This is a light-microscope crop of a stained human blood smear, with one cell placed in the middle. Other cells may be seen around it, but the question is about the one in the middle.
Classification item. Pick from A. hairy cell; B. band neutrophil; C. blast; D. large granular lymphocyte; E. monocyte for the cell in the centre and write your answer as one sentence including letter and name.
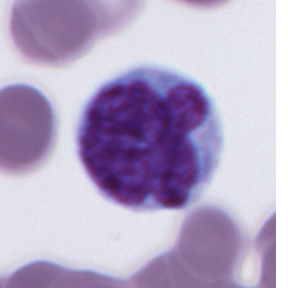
The central cell of the crop is a monocyte, which makes E the correct option.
